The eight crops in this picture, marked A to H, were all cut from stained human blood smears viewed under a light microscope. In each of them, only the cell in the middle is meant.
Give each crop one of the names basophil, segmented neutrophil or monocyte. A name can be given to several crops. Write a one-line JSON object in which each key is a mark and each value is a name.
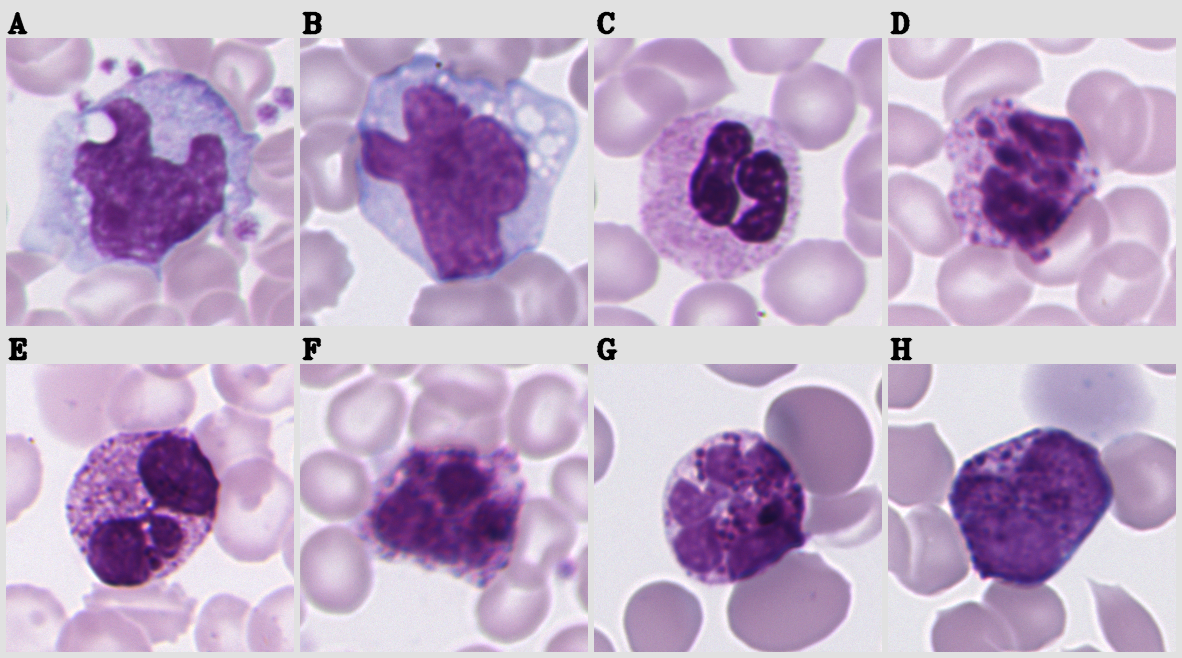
{"A": "monocyte", "B": "monocyte", "C": "segmented neutrophil", "D": "basophil", "E": "basophil", "F": "basophil", "G": "basophil", "H": "basophil"}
